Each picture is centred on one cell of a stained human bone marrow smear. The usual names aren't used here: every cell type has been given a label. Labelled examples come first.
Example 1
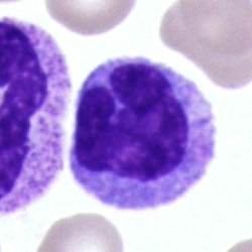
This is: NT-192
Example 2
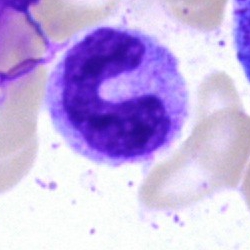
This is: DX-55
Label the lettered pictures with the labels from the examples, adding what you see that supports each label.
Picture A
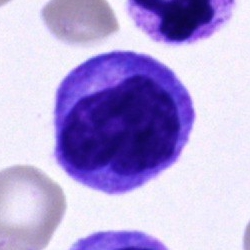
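NT-192. The nucleus fills most of the cell and sits off-centre toward the lower left.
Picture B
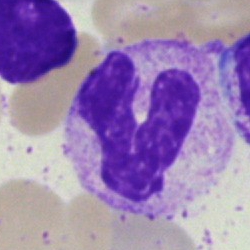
DX-55. The cytoplasm is abundant and pale pinkish-lilac.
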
